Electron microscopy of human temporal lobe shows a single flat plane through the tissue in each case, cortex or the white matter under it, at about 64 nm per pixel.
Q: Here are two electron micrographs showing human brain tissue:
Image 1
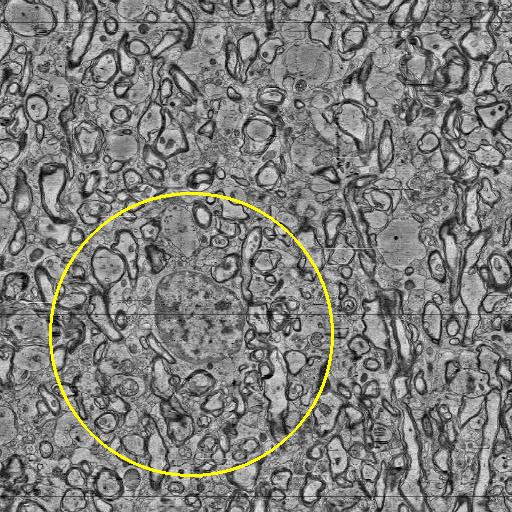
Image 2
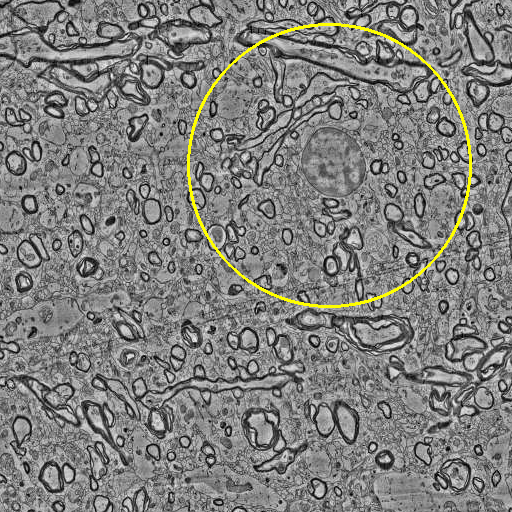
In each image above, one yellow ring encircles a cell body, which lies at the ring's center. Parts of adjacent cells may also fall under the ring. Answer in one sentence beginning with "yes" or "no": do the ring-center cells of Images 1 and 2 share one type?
No, in Images 1 and 2, the ring-center cells are of two types.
